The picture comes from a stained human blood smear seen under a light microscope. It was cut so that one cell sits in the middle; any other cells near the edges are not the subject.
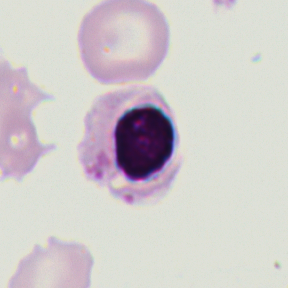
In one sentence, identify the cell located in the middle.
By classification, the middle cell of this crop is an erythroblast.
